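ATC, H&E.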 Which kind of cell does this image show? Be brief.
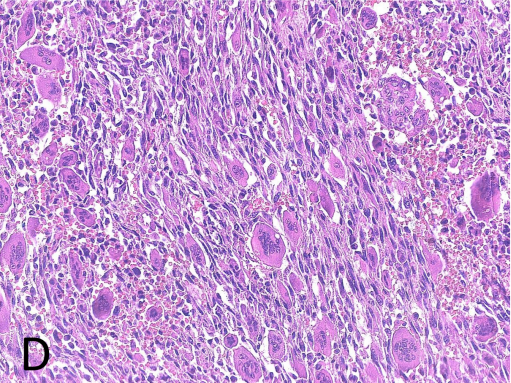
Osteoclast‐like giant cells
